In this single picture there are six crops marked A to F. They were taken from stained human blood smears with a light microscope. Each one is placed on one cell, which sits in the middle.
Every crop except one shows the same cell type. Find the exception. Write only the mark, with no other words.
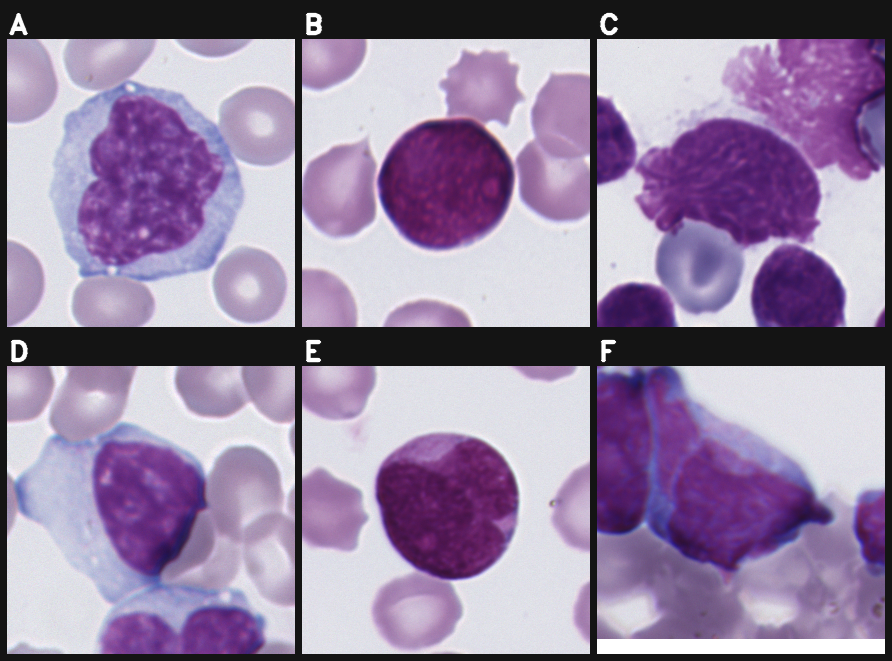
C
